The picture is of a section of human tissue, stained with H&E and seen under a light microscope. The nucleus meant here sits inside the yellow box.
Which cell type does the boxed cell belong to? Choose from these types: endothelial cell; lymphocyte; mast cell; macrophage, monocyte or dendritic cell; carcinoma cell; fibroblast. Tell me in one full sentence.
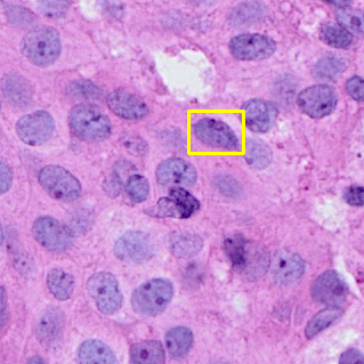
It is as a carcinoma cell that the boxed cell is recorded.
